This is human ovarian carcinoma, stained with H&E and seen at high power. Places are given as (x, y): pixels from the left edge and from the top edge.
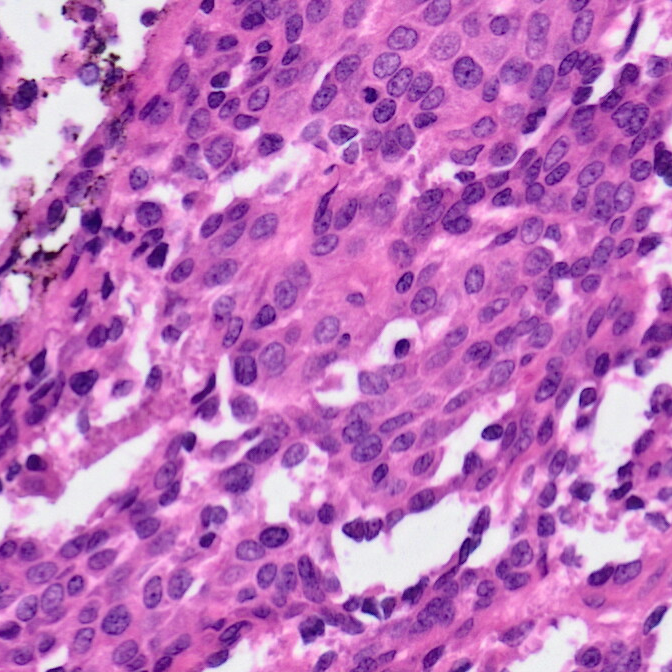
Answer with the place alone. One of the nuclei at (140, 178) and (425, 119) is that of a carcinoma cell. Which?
(425, 119)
